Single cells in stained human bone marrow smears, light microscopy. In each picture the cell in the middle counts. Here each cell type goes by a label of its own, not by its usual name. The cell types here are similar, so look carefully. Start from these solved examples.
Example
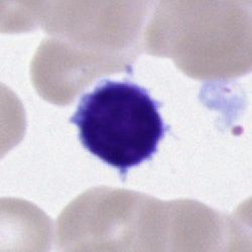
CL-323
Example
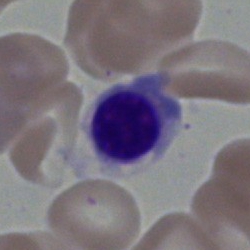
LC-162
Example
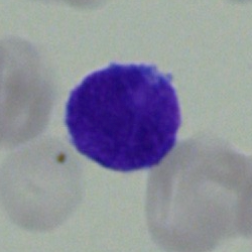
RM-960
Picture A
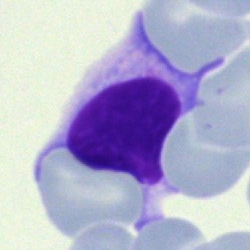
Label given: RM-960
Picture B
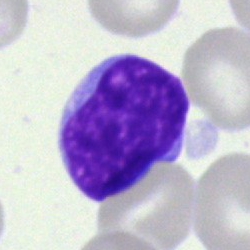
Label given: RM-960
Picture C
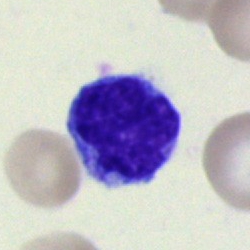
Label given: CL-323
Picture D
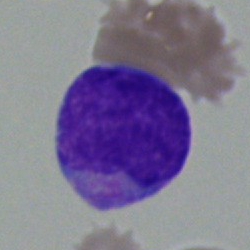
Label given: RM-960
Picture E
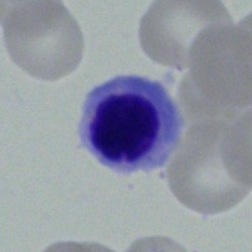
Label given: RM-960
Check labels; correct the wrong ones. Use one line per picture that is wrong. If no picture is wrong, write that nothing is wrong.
A is labelled RM-960; correct label: CL-323
E is labelled RM-960; correct label: LC-162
